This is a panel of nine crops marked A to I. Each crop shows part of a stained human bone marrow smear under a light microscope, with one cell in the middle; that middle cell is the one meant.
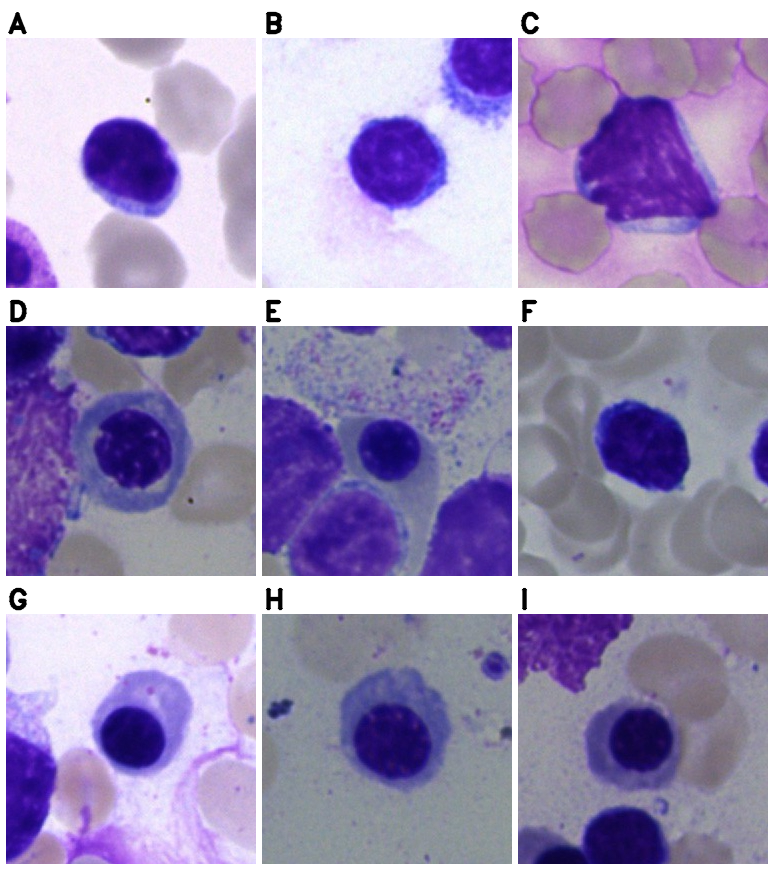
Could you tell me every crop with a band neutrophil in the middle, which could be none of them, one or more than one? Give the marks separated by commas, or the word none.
none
